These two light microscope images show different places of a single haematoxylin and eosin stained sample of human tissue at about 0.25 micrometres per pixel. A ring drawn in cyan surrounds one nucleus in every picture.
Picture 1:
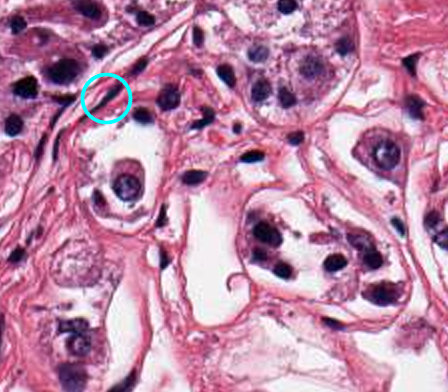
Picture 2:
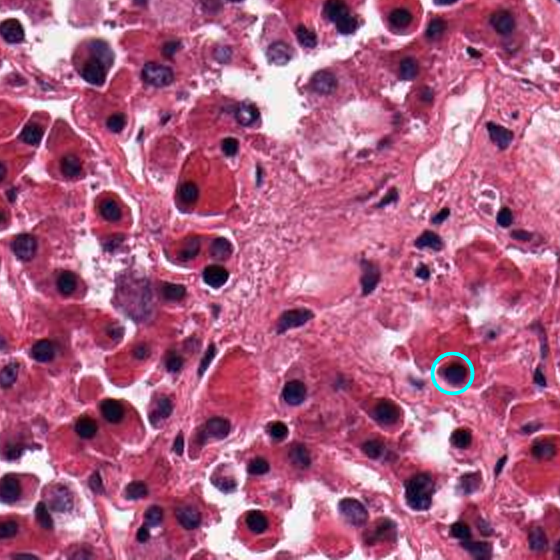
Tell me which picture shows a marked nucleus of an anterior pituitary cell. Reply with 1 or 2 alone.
2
